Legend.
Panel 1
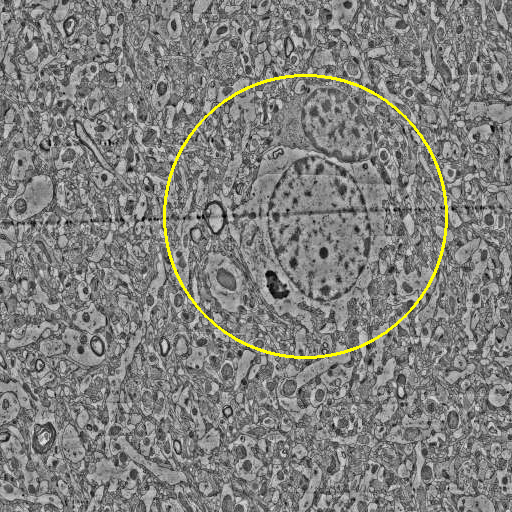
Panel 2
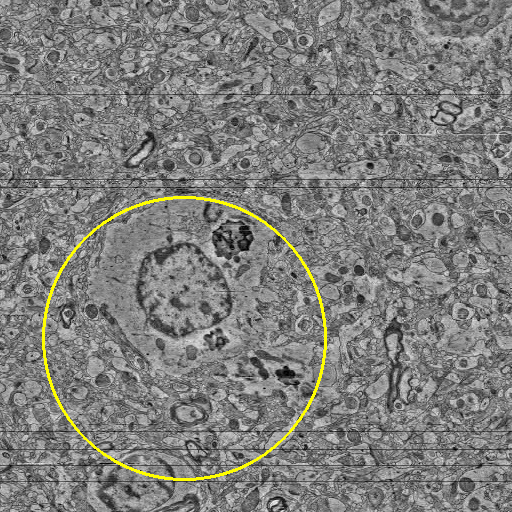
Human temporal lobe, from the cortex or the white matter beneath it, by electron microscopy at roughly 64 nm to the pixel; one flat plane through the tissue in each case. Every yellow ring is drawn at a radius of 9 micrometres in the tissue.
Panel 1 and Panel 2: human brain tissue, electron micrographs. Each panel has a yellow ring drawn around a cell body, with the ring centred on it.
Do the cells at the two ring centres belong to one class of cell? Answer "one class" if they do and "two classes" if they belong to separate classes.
one class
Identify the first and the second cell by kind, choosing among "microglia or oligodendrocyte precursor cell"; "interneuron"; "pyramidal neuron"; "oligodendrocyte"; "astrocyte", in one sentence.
Each of the ringed cells, first and second, is an astrocyte.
